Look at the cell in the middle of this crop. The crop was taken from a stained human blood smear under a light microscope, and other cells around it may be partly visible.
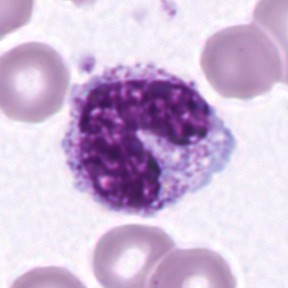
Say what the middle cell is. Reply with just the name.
band neutrophil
